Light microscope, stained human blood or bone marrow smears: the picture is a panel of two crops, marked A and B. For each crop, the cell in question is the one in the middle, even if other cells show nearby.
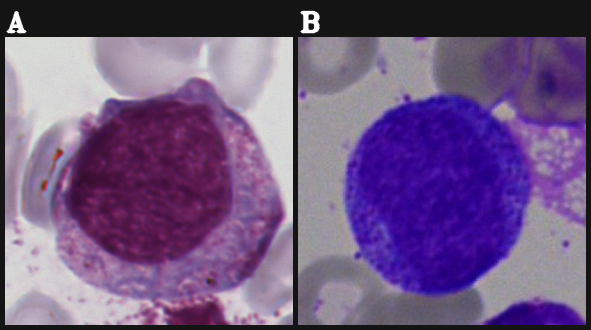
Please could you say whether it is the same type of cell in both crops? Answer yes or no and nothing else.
yes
